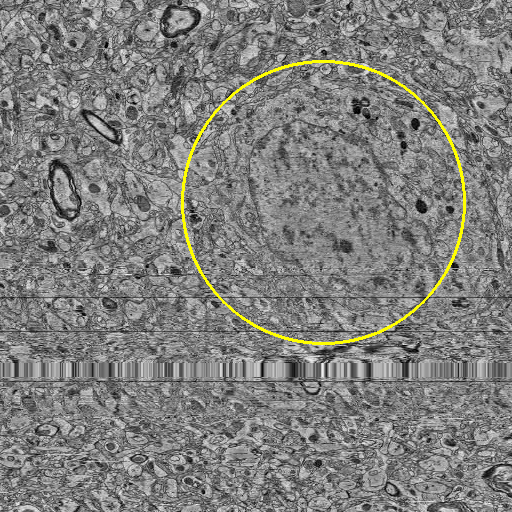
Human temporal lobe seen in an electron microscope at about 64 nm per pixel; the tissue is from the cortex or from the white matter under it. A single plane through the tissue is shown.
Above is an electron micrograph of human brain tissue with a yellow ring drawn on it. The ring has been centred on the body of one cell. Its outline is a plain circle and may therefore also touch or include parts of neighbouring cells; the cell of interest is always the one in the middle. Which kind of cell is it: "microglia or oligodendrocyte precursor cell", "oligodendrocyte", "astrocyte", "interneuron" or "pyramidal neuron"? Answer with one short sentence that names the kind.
The ring's central cell body is that of an interneuron.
